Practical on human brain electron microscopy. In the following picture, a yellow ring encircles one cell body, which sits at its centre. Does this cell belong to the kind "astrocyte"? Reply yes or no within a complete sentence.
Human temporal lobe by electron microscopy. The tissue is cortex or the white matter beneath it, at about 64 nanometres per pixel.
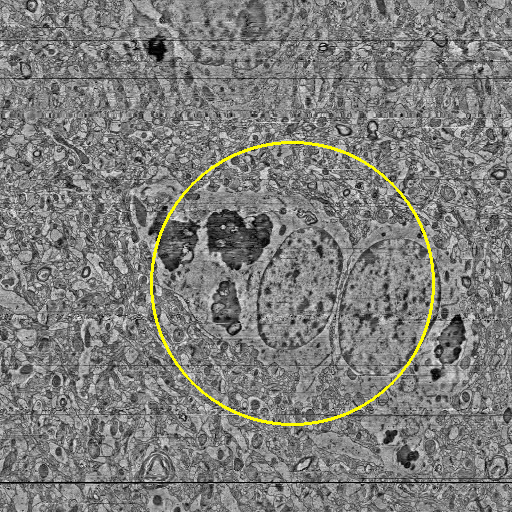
Yes, the one cell at the centre of the ring here is of that kind.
